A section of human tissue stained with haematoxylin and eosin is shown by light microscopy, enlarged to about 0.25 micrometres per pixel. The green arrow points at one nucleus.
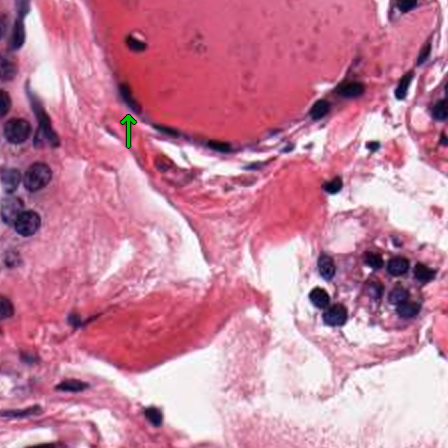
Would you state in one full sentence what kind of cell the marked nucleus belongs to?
The cell bearing the marked nucleus is a thyroid follicular cell.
